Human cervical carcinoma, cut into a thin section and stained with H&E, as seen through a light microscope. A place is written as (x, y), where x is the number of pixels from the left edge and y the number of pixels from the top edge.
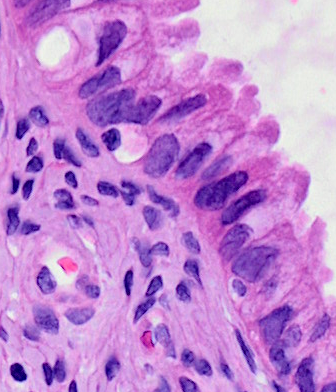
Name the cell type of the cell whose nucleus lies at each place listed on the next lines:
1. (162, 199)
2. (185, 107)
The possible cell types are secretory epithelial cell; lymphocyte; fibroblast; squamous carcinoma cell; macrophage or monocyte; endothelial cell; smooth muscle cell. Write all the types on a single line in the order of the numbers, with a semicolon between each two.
fibroblast; secretory epithelial cell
